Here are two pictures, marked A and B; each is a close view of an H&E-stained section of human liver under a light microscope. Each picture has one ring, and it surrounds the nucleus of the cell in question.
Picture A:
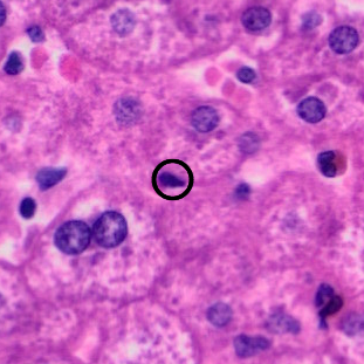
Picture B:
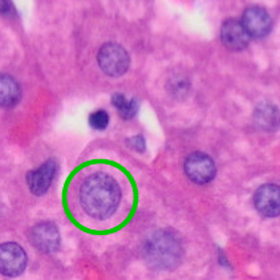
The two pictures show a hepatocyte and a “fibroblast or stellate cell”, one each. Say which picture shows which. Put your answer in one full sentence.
Picture A shows a “fibroblast or stellate cell” and picture B shows a hepatocyte.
